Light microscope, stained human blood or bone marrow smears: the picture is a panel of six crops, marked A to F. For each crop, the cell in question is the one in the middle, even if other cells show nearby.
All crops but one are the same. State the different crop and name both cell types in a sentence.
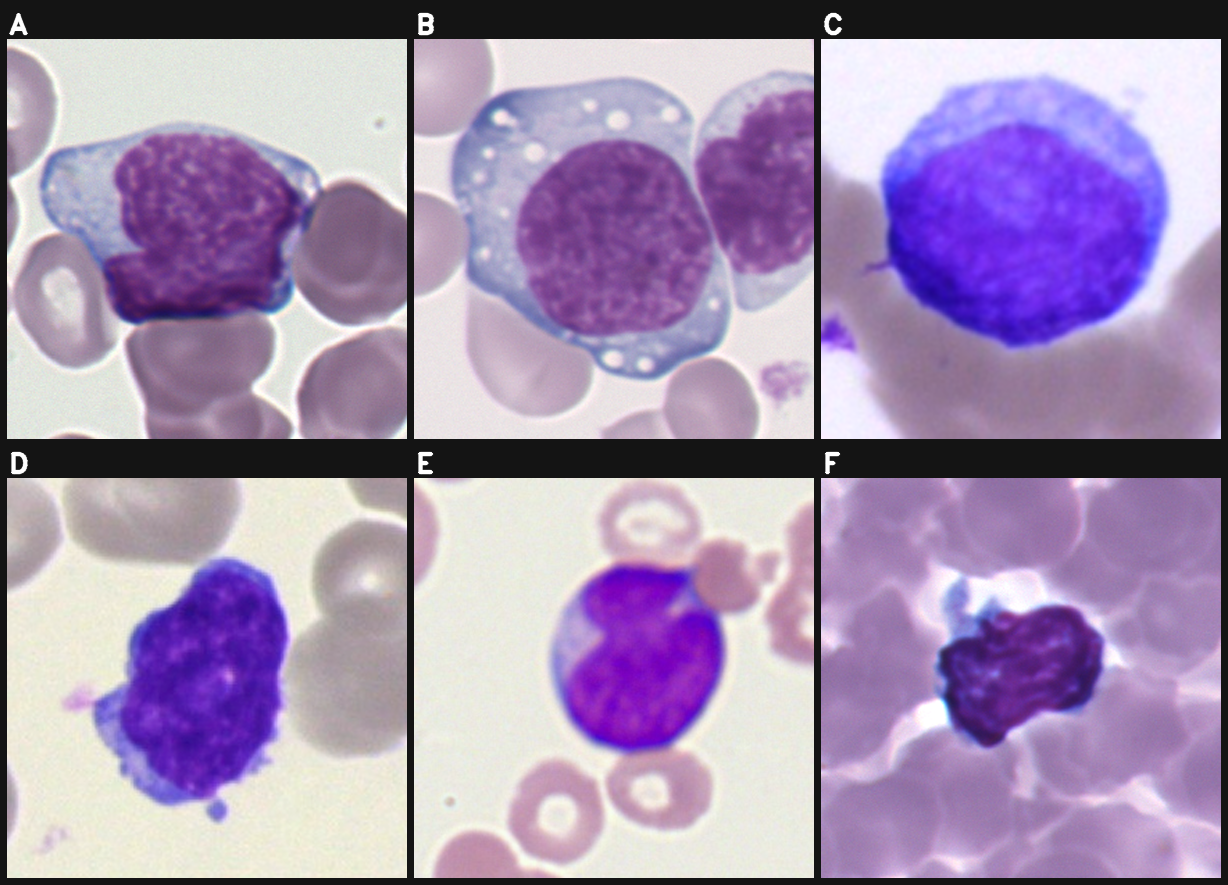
Crop F alone is a lymphocyte, and the other crops are all blasts.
